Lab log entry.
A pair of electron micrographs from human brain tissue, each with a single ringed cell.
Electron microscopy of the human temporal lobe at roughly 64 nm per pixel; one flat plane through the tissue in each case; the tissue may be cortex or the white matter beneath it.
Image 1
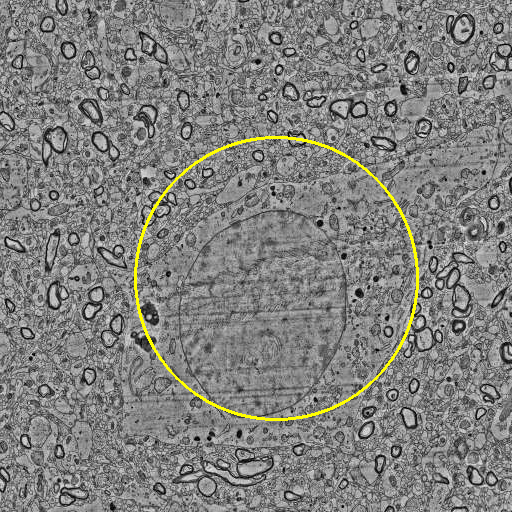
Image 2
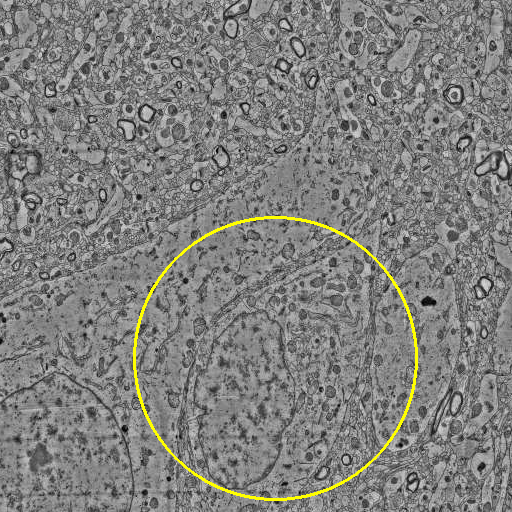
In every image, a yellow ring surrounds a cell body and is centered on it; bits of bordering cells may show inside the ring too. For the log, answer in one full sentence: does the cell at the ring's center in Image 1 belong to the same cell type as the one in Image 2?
No, the cells at the ring centers in Image 1 and Image 2 are of separate types.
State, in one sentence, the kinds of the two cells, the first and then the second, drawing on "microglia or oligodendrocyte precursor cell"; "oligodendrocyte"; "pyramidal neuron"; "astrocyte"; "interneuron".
The ring in the second picture is centred on an interneuron, the ring in the first on a pyramidal neuron.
